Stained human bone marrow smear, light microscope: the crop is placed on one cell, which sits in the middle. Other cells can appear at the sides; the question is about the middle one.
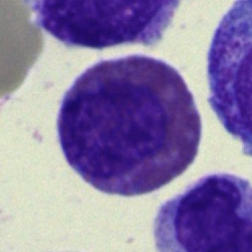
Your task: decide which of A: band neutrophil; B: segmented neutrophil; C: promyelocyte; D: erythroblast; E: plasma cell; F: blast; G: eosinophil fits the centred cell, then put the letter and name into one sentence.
The expected answer is option G, the central cell being an eosinophil.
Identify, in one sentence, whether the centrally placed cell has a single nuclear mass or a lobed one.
If you check the nucleus, you will find one compact mass, round, oval or kidney-shaped.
